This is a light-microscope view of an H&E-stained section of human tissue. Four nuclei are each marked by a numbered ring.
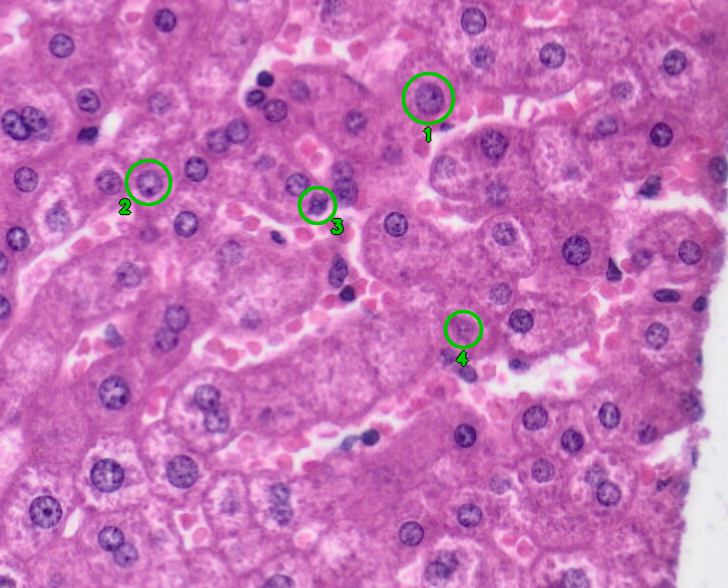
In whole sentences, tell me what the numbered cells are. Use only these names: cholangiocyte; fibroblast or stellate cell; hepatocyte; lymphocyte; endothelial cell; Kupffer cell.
Cells 1, 2 and 4 are hepatocytes. Cell 3 is a fibroblast or stellate cell.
